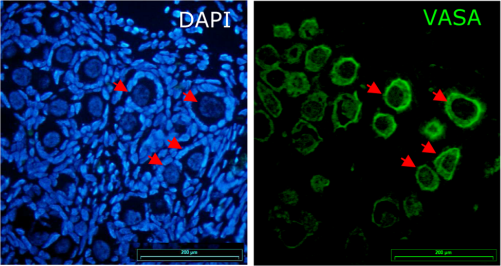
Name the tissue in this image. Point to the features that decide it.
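Large round cells lie singly, each ringed by small flattened cells. Dense stroma of elongated nuclei fills the spaces between.
Conclusion: ovaries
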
